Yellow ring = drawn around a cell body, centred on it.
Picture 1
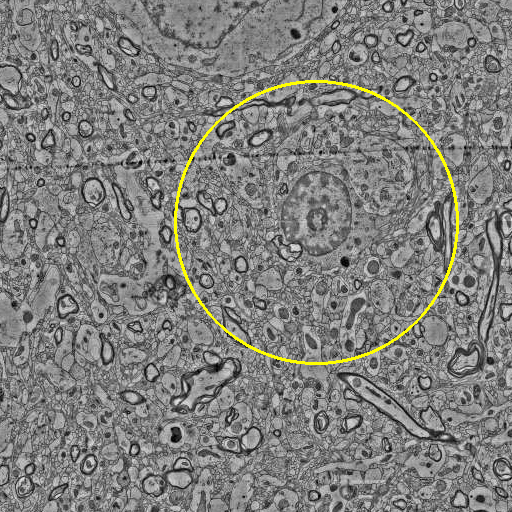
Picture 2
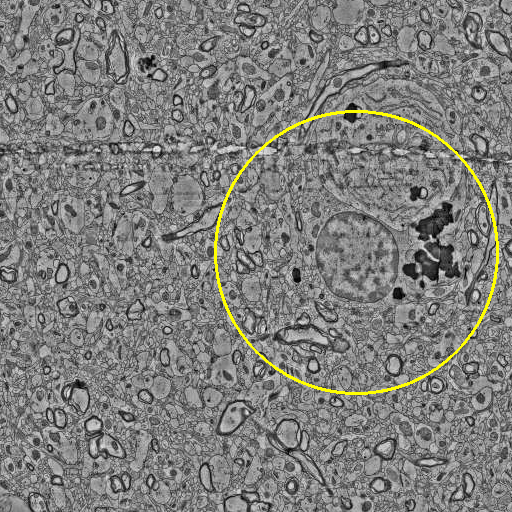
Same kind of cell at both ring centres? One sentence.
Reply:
Yes, they are the same kind of cell.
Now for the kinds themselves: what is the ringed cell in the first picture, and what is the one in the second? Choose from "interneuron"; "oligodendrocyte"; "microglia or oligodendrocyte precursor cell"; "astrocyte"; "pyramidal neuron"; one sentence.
The ring centre holds an oligodendrocyte in each of the two pictures.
